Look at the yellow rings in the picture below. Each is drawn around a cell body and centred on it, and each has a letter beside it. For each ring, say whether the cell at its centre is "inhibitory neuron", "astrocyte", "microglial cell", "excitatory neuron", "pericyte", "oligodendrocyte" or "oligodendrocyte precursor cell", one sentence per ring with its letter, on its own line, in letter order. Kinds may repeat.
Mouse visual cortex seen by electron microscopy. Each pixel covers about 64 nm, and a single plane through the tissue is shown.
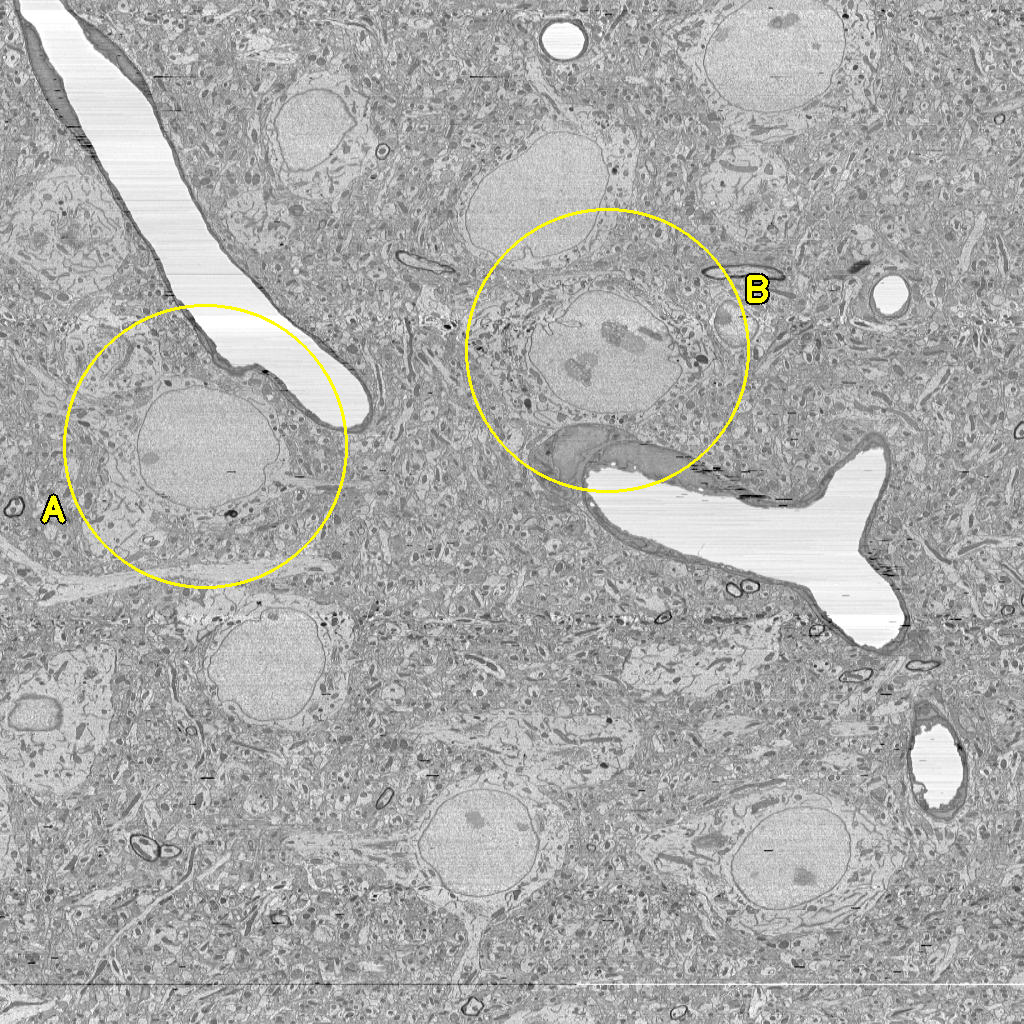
The centred cell of ring A is an excitatory neuron.
The centred cell of ring B is an inhibitory neuron.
